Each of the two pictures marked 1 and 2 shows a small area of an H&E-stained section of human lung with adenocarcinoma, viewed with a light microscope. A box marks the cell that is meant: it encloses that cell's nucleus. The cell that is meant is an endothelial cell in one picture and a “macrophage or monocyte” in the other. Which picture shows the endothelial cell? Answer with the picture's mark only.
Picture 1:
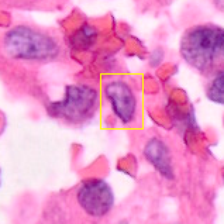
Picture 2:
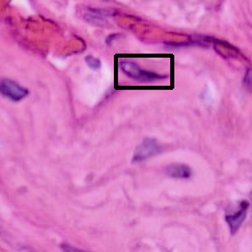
2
